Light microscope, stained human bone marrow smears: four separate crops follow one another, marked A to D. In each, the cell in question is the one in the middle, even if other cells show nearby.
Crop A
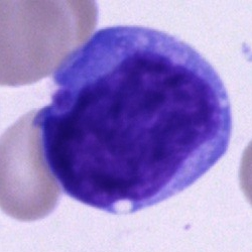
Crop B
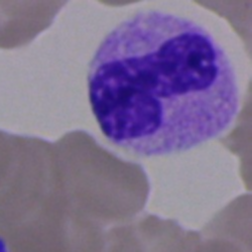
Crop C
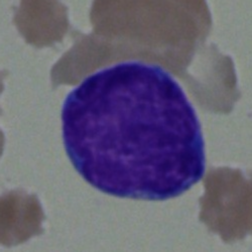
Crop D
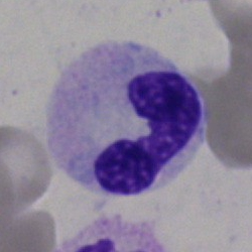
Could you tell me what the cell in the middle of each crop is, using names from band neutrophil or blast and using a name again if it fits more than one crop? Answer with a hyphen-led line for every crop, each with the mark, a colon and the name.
- A: blast
- B: band neutrophil
- C: blast
- D: band neutrophil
